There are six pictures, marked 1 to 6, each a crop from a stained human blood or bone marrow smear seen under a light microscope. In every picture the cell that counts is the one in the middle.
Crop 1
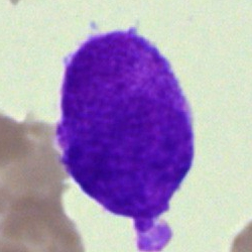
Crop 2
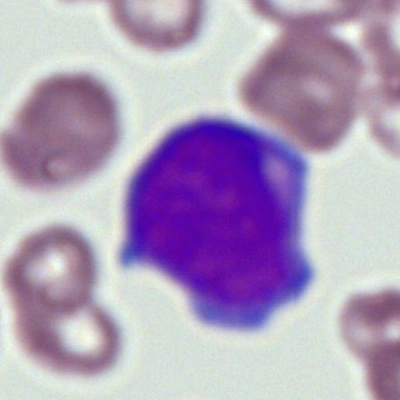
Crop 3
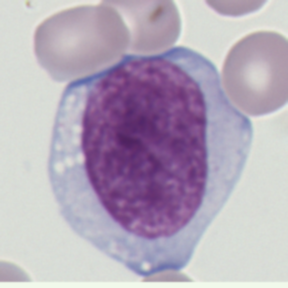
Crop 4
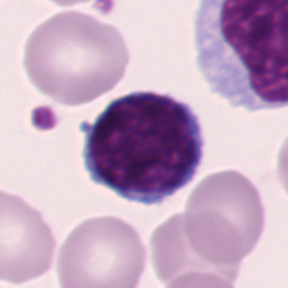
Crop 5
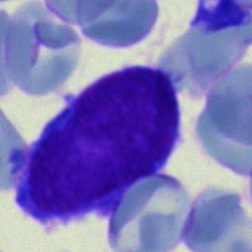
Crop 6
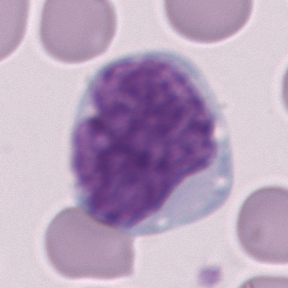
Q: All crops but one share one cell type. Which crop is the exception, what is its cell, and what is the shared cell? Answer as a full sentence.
Apart from crop 4, a lymphocyte, the crops all show blasts.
